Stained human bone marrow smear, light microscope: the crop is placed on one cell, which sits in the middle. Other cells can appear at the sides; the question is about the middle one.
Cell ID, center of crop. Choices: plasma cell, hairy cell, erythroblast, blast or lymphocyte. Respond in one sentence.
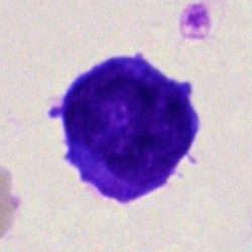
For this crop, the central cell is a blast.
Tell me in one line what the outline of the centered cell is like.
The cell margin is rough and uneven, either ragged or drawn into projections.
